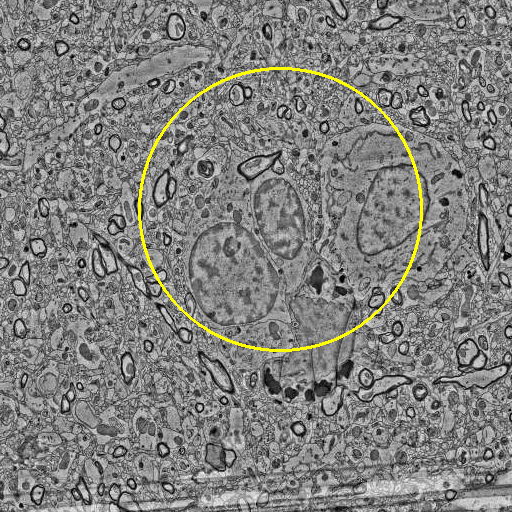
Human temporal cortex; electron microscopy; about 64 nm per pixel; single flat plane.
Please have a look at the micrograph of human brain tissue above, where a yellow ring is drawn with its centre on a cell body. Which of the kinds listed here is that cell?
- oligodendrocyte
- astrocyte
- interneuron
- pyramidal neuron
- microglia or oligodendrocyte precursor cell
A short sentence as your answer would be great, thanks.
At the centre of the ring sits an oligodendrocyte.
